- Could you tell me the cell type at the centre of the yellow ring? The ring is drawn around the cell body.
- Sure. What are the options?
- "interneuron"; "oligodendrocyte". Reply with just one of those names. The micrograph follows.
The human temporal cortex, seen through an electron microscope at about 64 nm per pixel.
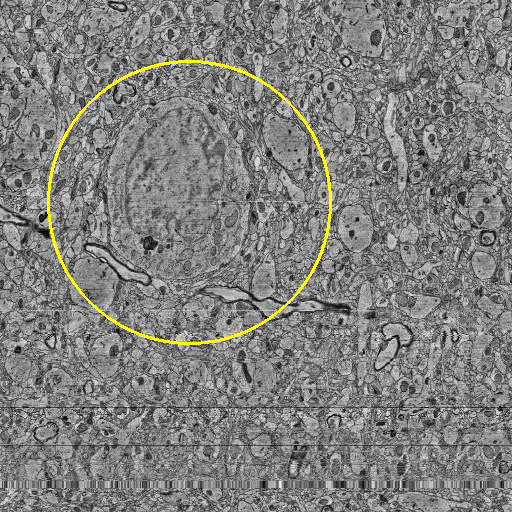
interneuron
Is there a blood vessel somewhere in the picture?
No, there is none.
